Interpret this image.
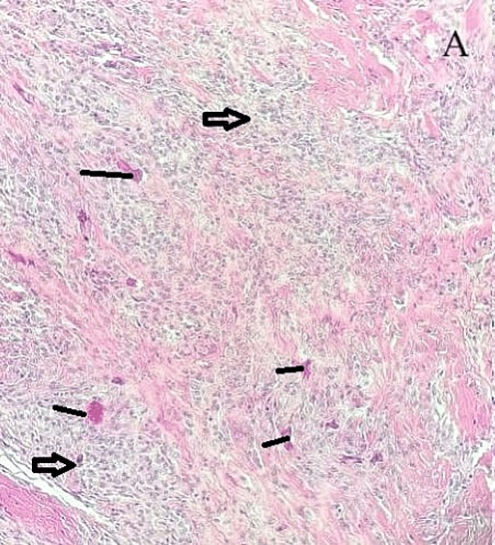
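This section shows sheets of mononucleated cells set in a fibrocollagenous stroma, with a few multinucleated giant cells scattered through it. Pink collagenous bands weave between the cell sheets and are more prominent toward the upper right. A few much larger cells with deep pink cytoplasm stand out singly among the small cells.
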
